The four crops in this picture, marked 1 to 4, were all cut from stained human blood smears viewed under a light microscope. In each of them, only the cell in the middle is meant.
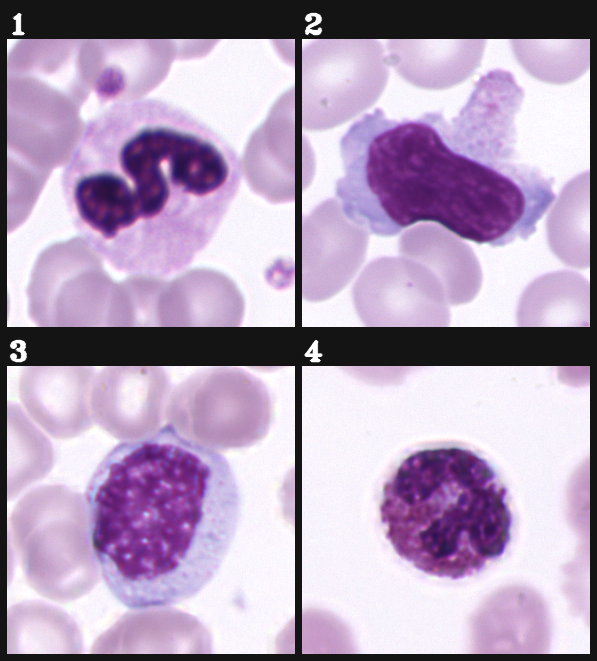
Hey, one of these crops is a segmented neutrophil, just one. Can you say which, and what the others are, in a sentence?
Crop 1 is best given as a segmented neutrophil, while crop 2 is a large granular lymphocyte, crop 3 is a myelocyte and crop 4 is an eosinophil.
